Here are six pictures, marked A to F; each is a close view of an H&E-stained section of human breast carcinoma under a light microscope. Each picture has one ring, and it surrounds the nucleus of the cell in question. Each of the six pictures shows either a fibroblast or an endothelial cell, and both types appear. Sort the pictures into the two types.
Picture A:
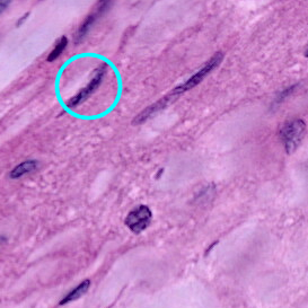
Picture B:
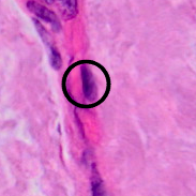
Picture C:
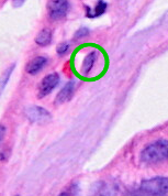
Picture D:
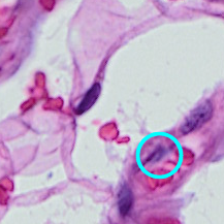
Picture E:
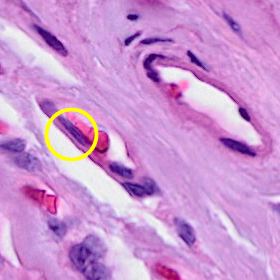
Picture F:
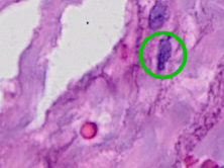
A: fibroblast
B: endothelial cell
C: endothelial cell
D: endothelial cell
E: endothelial cell
F: fibroblast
